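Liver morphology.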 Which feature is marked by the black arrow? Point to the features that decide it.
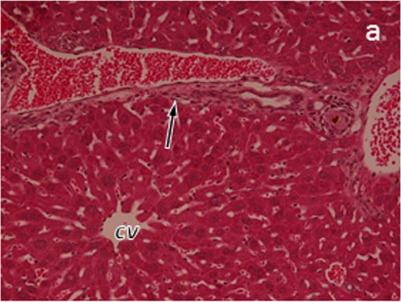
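The arrow points to a band of connective tissue with small cells along a large blood-filled vessel. That points to this answer: portal tracts.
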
